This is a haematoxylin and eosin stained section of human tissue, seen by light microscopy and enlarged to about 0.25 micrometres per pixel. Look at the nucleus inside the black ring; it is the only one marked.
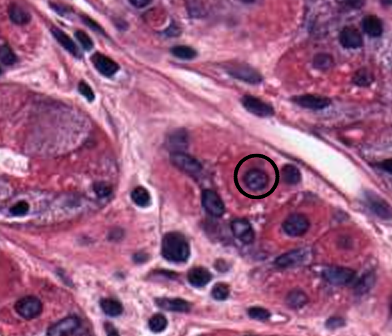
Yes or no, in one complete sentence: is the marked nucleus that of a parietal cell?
Yes, the marked nucleus is assigned to a parietal cell.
